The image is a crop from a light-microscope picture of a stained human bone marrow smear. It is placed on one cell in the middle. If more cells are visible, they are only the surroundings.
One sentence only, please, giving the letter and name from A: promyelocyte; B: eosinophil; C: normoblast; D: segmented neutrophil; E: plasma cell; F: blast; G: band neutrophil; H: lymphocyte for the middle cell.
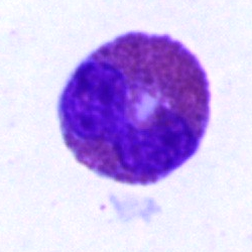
The middle cell of the crop is an eosinophil; accordingly, option B is correct.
